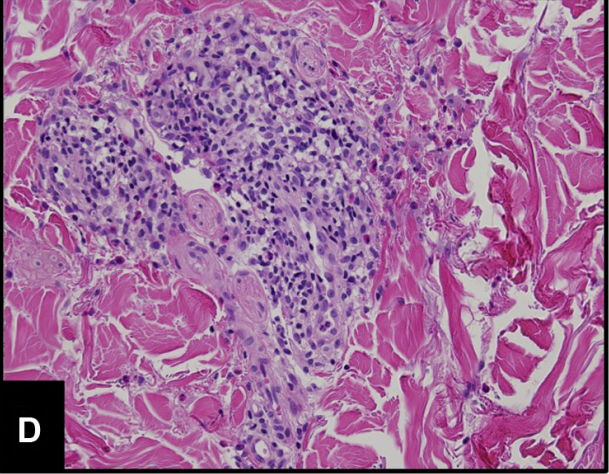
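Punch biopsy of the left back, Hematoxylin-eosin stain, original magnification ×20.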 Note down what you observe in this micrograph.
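Skin dermis with a dense inflammatory infiltrate of lymphocytes and eosinophils clustered around small blood vessels. Thick pink bundles of collagen fill the surrounding dermis and are separated by clefts. Scattered among them are cells with pink cytoplasm. The infiltrate stays close to the vessels, and the collagen beyond it holds only a few cells.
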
